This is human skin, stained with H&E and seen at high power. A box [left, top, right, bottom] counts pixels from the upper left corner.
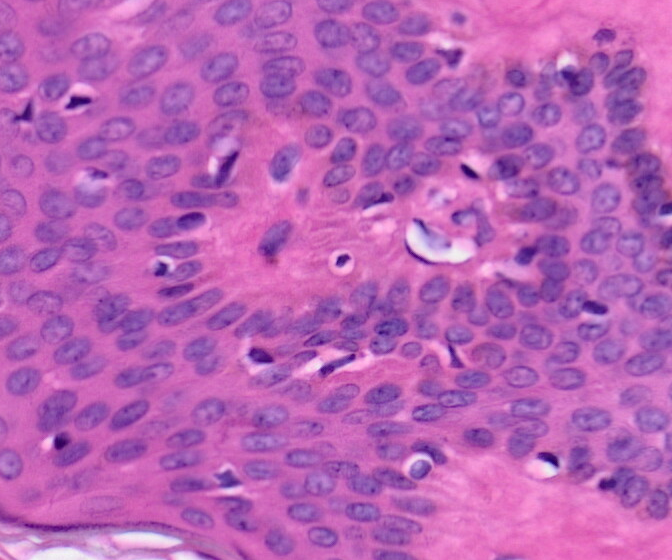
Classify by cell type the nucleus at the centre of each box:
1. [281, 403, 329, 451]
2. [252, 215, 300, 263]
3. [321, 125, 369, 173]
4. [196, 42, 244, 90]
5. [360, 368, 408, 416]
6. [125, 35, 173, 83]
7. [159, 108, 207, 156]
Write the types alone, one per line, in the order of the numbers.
suprabasal keratinocyte
fibroblast
basal keratinocyte
suprabasal keratinocyte
basal keratinocyte
suprabasal keratinocyte
suprabasal keratinocyte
